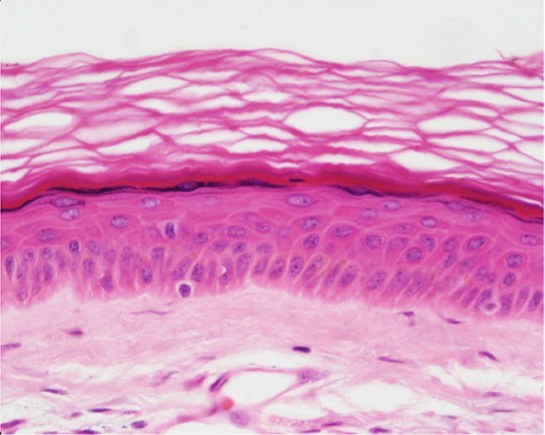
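Epidermis of skin, keratinocytes in stratified layers over pale pink dermis. The deepest row holds small, closely set cells with dark nuclei resting on the dermis. Above them lie several rows of larger polygonal cells with round, pale purple nuclei and pink cytoplasm. Toward the surface the cells flatten, and a thin, dark-staining band marks the top of the nucleated layers. Over this lies a thick zone of anucleate, wavy pink sheets that separate loosely, leaving clear spaces between them. The underlying dermis is pale and fibrous, with scattered spindle-shaped nuclei and a small vessel.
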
